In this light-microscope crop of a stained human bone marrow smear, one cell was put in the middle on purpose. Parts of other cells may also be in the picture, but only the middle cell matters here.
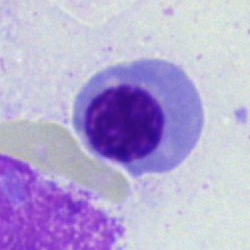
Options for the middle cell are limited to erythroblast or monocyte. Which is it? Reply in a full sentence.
By type, the central cell of the crop is an erythroblast.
